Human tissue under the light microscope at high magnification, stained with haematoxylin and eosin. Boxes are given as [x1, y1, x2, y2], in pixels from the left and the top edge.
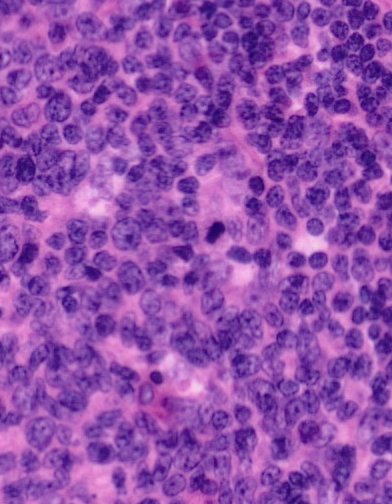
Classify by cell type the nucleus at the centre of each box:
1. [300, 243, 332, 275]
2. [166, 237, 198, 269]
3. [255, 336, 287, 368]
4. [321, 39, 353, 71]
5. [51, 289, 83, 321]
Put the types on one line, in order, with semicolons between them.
small lymphocyte; proliferating B cell; proliferating B cell; small lymphocyte; proliferating B cell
